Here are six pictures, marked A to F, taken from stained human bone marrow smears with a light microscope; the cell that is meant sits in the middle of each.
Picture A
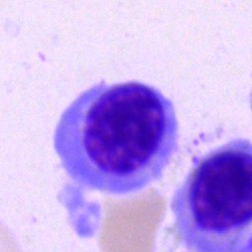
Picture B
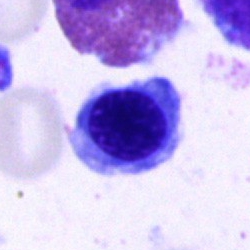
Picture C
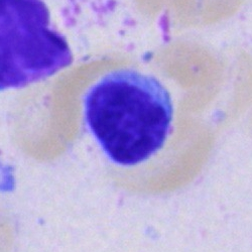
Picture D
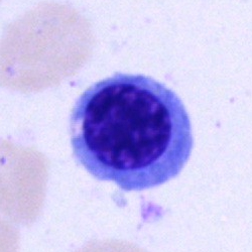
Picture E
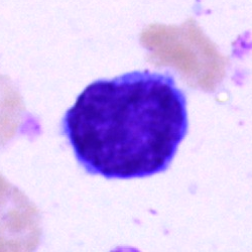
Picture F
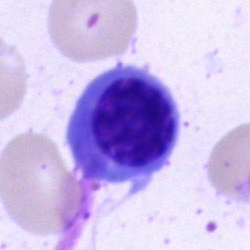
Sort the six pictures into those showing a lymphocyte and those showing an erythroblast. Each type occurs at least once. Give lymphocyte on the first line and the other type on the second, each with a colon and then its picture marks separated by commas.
lymphocyte: C, E
erythroblast: A, B, D, F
